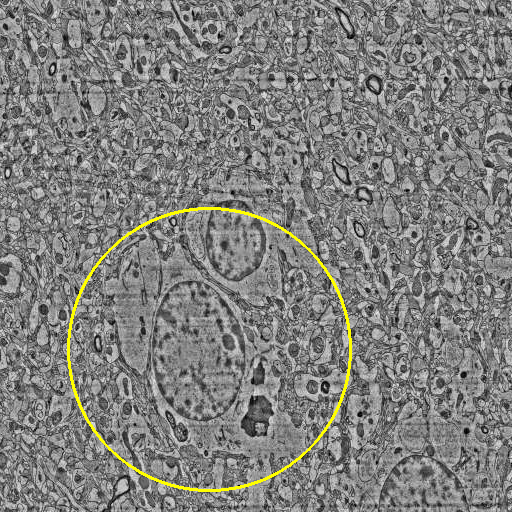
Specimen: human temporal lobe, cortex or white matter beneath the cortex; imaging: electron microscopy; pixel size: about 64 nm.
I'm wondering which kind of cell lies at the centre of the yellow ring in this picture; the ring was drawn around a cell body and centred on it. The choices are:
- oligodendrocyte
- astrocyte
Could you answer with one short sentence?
At the centre of the ring lies an astrocyte.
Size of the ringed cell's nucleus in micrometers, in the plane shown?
In this plane, the nucleus of the cell at the centre of the ring measures about 9 by 6 micrometres.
